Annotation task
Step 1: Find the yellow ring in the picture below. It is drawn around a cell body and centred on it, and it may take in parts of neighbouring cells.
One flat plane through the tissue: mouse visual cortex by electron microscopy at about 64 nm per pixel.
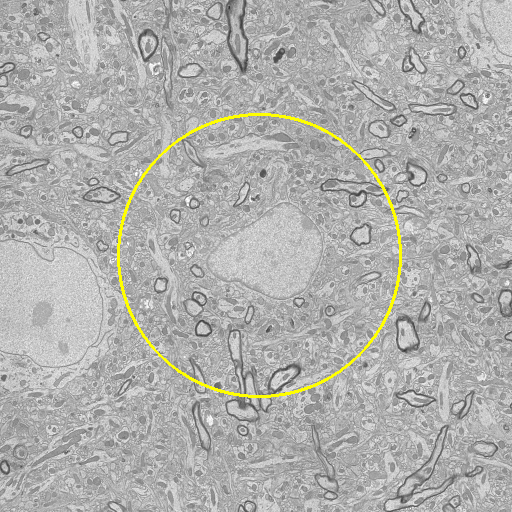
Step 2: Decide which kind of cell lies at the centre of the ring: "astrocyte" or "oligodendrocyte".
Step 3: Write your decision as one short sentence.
The kind of cell at the ring's centre is an astrocyte.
